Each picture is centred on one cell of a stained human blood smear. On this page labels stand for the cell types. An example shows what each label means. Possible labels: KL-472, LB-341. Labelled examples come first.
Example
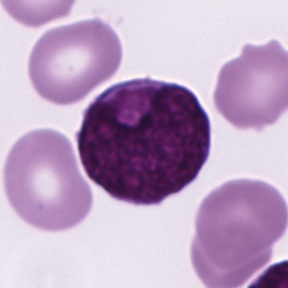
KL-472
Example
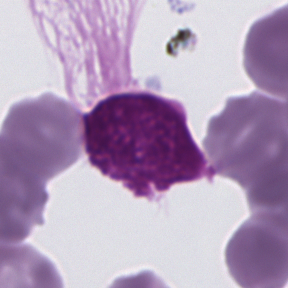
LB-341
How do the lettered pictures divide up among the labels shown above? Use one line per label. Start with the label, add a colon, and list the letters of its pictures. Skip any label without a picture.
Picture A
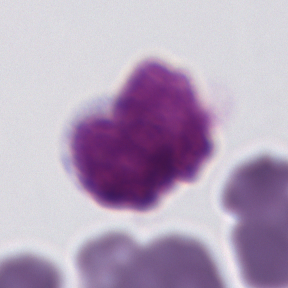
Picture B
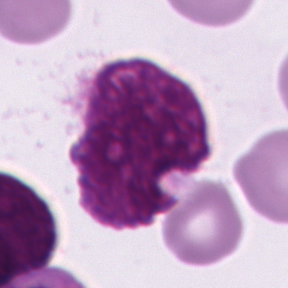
LB-341: A, B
